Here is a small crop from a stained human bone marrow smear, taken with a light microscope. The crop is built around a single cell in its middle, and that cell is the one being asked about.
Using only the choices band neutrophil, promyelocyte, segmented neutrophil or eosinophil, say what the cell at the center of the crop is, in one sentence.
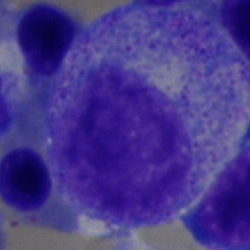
This crop has a promyelocyte at its centre.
